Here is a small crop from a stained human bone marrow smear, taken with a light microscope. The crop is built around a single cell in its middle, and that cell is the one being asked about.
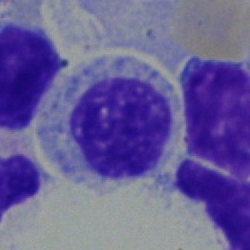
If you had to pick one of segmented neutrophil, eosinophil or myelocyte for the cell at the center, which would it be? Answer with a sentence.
The cell of interest, in the center, is a myelocyte.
